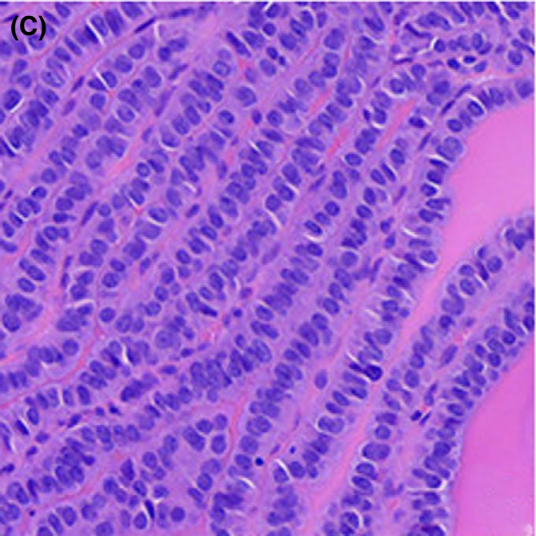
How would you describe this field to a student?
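This is the tall cell variant of papillary thyroid carcinoma, in which long parallel rows of tumour cells line thin pink cores. Each cell is clearly taller than it is wide, with plentiful pink cytoplasm and an elongated, crowded nucleus. Pink colloid fills the space at the right edge.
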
